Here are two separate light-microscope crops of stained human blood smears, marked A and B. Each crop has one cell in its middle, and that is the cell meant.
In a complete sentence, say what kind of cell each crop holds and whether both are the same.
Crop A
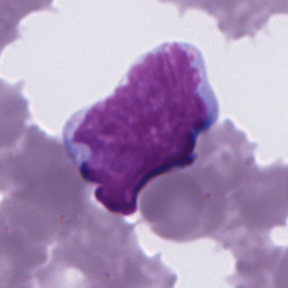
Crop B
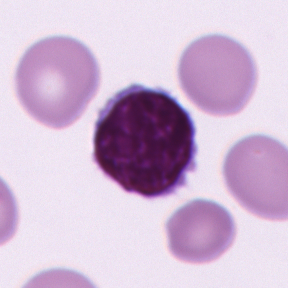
No, for crop A the cell is a blast, and for crop B it is a lymphocyte.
